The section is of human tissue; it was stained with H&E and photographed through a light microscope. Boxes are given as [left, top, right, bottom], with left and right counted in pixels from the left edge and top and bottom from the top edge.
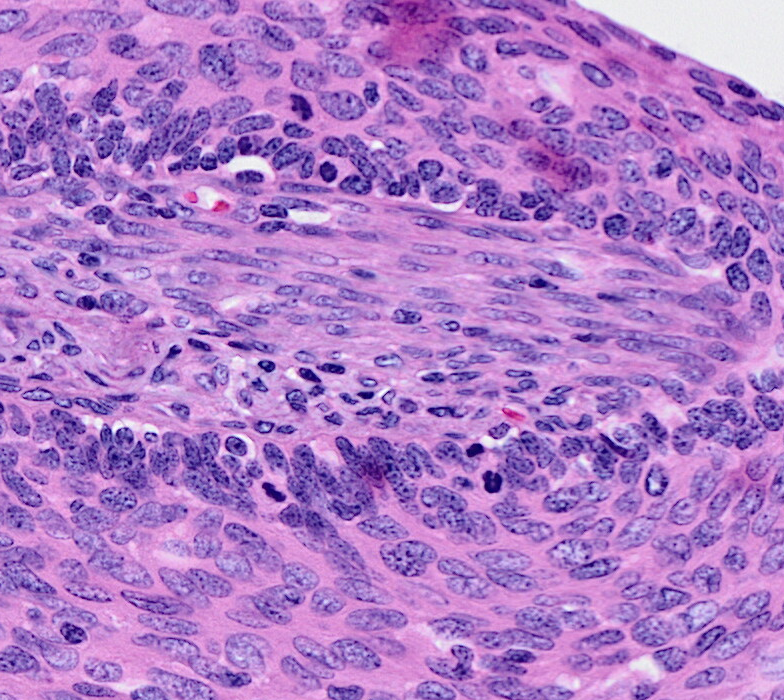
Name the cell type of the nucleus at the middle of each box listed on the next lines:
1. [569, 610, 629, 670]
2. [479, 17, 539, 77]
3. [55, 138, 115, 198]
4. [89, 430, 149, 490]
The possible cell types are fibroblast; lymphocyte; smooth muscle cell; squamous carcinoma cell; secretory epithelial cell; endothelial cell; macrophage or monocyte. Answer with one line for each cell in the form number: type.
1: squamous carcinoma cell
2: squamous carcinoma cell
3: lymphocyte
4: squamous carcinoma cell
